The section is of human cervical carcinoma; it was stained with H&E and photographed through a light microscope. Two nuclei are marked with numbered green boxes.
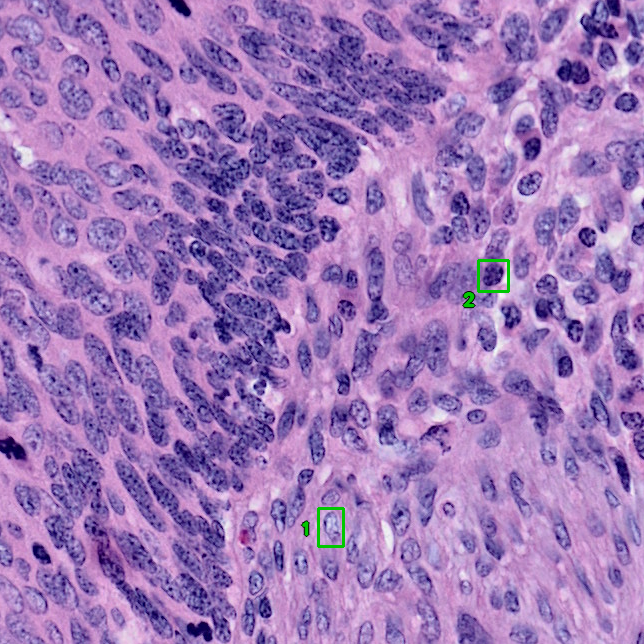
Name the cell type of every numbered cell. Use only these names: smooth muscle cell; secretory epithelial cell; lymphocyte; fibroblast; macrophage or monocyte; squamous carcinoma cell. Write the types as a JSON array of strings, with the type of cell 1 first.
["smooth muscle cell", "lymphocyte"]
